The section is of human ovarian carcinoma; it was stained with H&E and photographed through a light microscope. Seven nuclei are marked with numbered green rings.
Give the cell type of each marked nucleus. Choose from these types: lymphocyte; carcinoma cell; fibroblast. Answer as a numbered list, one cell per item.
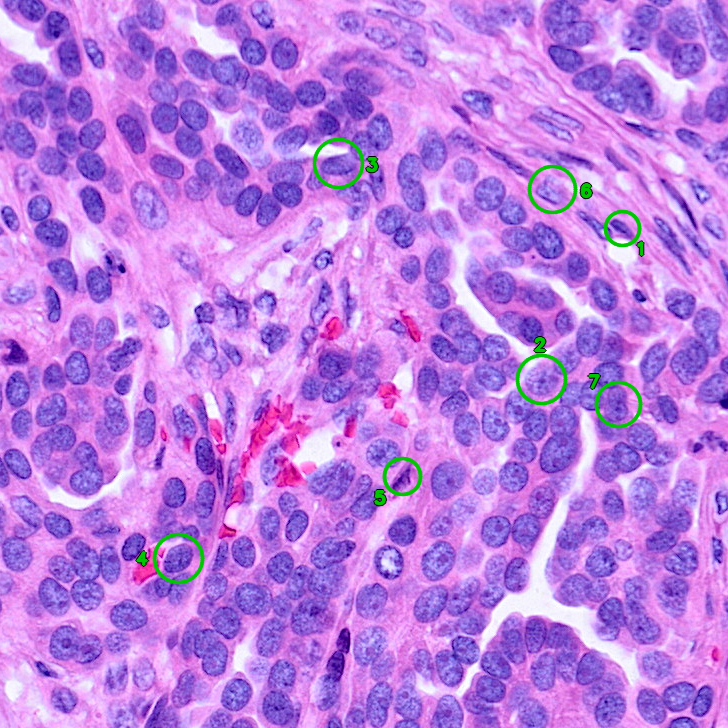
1. fibroblast
2. carcinoma cell
3. carcinoma cell
4. carcinoma cell
5. fibroblast
6. fibroblast
7. carcinoma cell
